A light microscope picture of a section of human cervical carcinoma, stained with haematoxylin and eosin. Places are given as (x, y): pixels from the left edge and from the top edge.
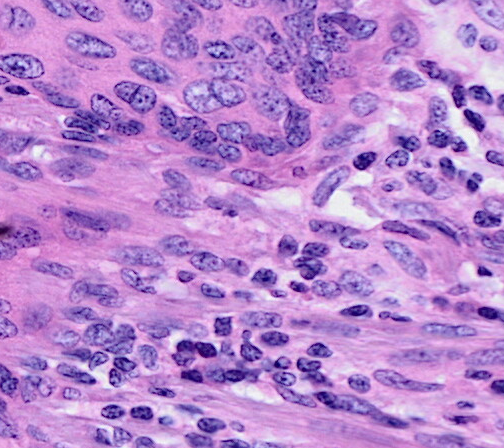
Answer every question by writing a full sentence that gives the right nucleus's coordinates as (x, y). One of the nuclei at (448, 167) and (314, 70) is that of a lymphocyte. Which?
The nucleus at (448, 167) is part of a lymphocyte, while the other is not.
